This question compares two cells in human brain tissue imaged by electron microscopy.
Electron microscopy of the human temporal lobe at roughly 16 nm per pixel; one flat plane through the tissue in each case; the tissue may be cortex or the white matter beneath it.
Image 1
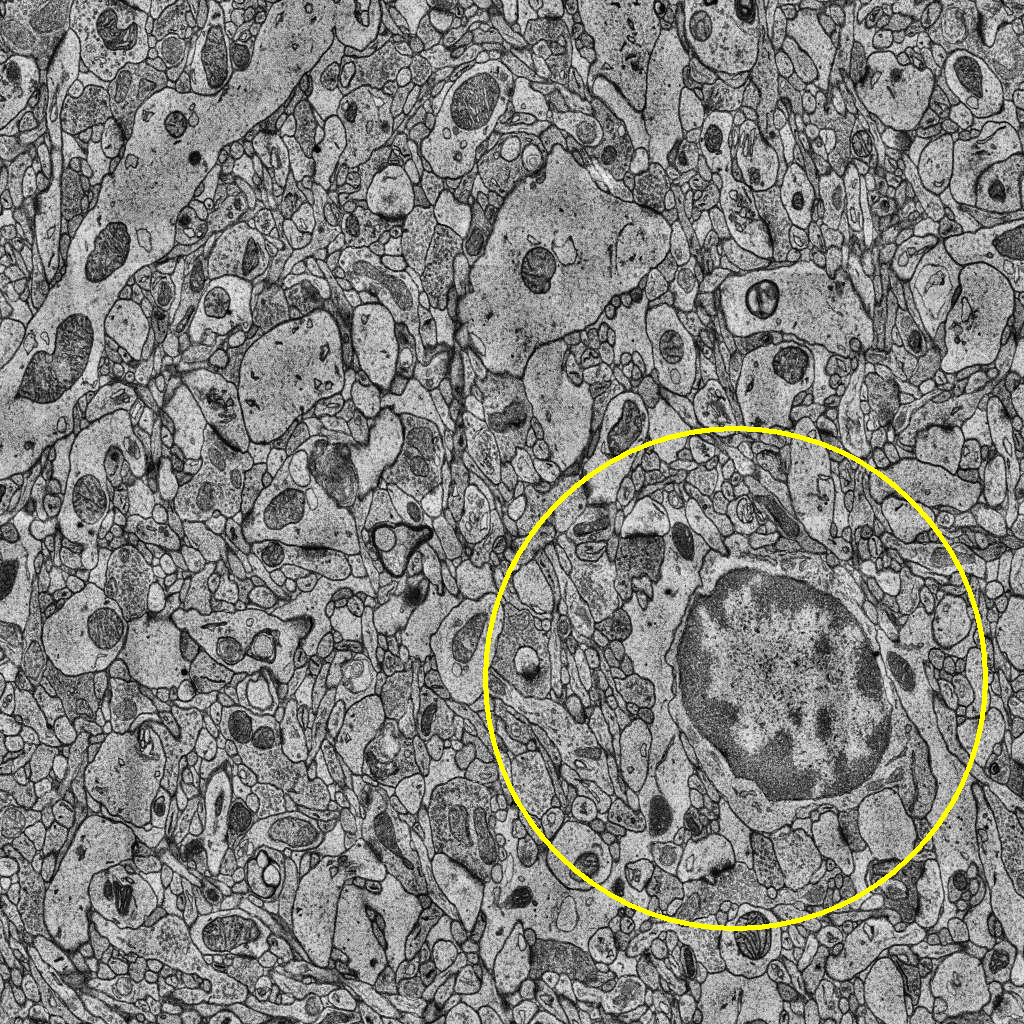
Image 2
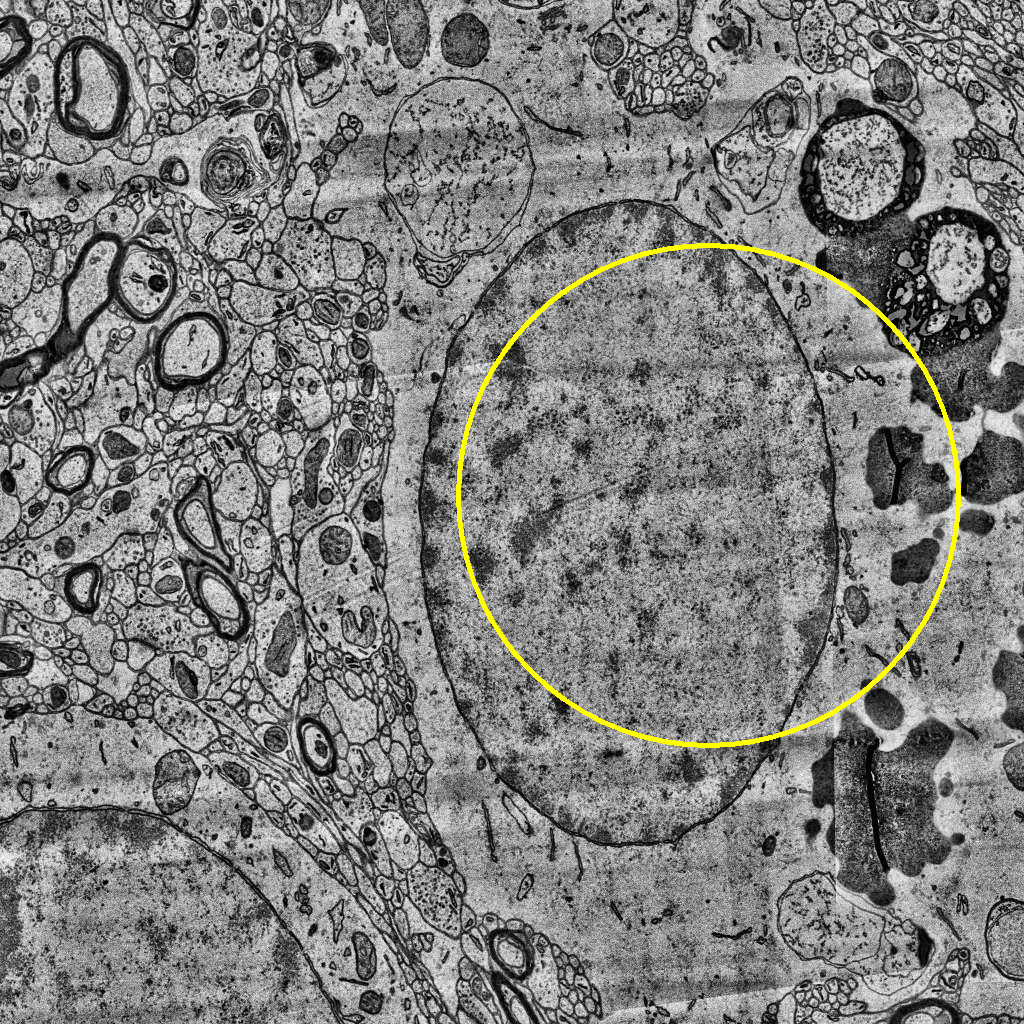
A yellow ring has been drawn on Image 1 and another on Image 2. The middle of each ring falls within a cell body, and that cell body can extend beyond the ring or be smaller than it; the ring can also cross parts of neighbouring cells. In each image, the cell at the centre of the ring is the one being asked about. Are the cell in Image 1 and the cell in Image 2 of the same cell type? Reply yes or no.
no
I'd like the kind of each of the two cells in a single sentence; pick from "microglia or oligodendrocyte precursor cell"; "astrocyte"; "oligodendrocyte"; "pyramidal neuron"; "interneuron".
The two differ: the first cell is a microglial cell or oligodendrocyte precursor cell and the second is an astrocyte.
